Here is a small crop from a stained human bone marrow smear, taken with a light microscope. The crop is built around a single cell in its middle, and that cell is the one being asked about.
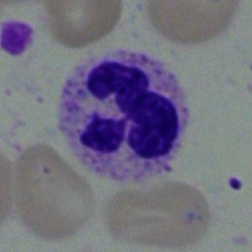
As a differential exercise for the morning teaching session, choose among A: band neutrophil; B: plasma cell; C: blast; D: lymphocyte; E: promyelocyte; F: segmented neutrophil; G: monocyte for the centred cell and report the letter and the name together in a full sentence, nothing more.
The centered cell is a segmented neutrophil, which is why option F is right.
